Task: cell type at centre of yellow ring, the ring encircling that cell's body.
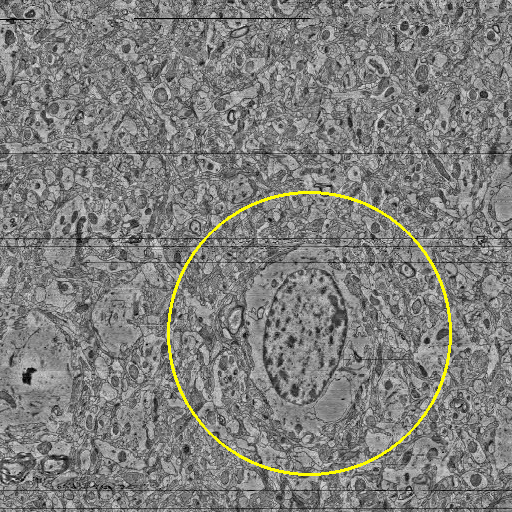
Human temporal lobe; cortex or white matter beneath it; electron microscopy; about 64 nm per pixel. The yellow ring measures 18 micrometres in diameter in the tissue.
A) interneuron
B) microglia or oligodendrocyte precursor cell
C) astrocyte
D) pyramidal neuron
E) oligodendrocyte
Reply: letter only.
C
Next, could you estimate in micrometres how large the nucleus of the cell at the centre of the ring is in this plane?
The nucleus measures about 9 by 5 micrometres, so it is clearly longer than it is wide in this plane.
